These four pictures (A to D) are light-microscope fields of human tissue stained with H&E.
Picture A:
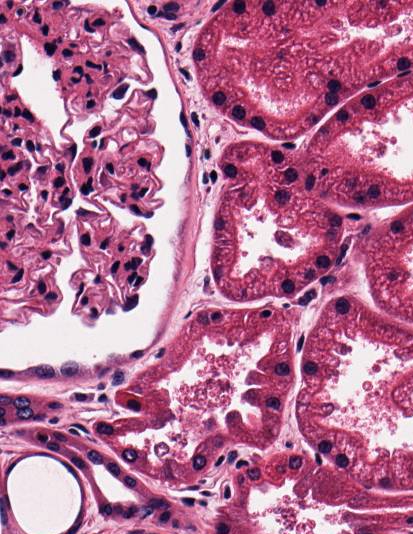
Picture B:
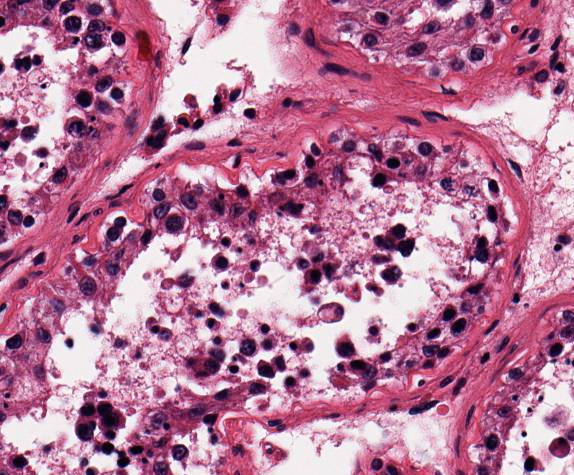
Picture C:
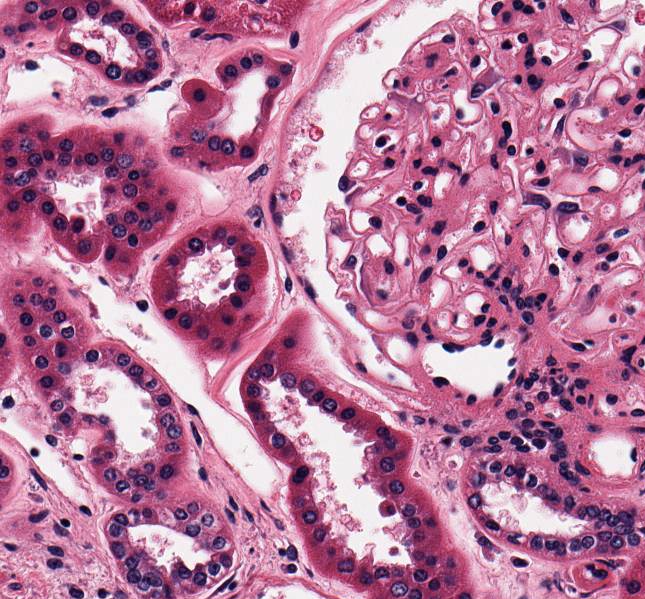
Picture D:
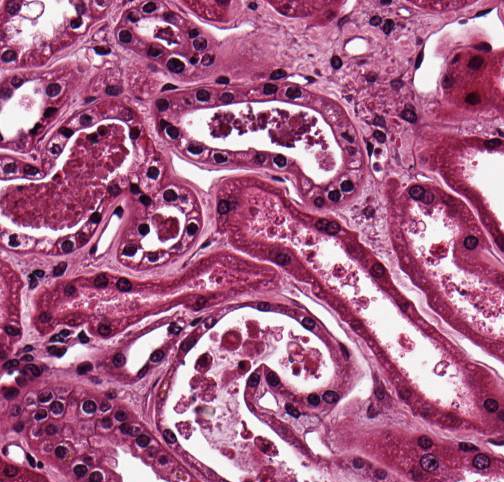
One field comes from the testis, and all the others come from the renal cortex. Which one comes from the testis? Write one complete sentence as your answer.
Picture B comes from the testis.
